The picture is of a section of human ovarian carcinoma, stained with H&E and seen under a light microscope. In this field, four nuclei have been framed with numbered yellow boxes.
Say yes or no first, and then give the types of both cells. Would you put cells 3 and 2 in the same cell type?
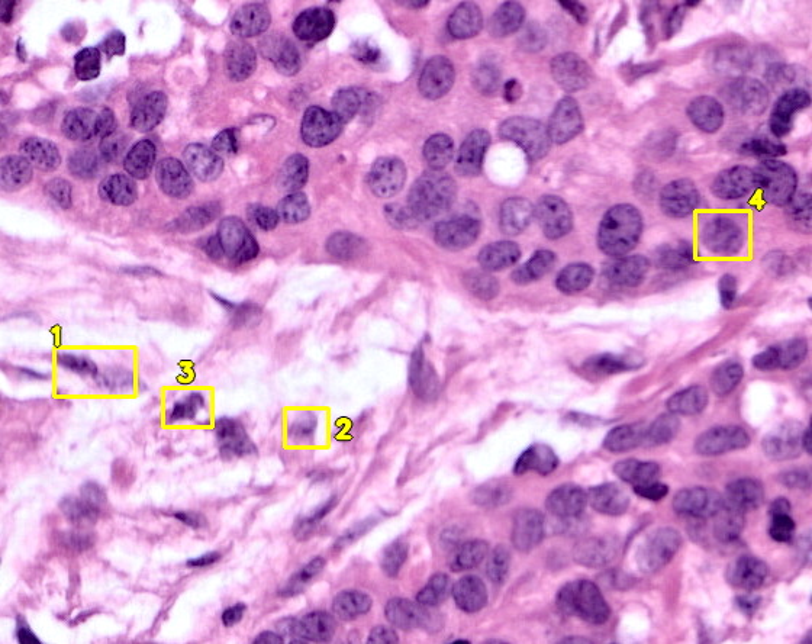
Yes, the cell marked 3 and the cell marked 2 are both fibroblasts.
